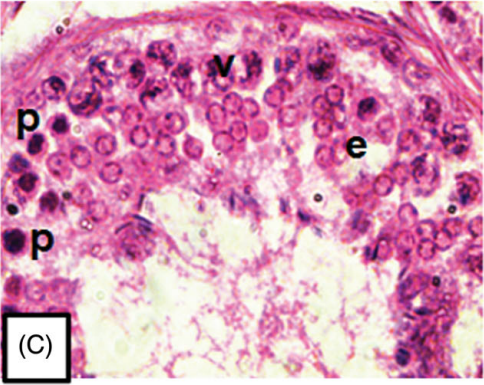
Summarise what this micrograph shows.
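Testicular tissue showing the wall of a seminiferous tubule whose cells look damaged. Many cells have clear pale rings around their nuclei, giving the cytoplasm a vacuolated look, while several nuclei near the edge are small, round and densely dark purple. Gaps open between cells within the epithelium, and the lumen holds loose pale pink material with few sperm. A thin pink layer with flattened nuclei bounds the tubule at the top.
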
